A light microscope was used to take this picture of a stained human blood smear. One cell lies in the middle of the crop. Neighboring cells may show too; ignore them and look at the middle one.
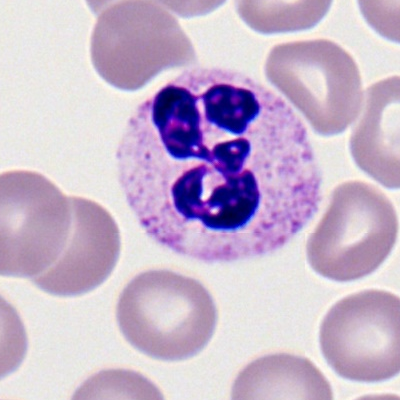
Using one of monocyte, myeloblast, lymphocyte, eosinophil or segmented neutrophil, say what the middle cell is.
segmented neutrophil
